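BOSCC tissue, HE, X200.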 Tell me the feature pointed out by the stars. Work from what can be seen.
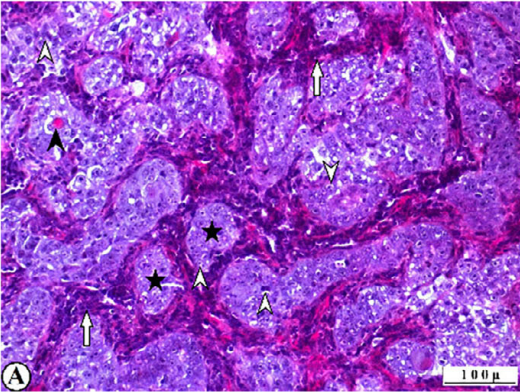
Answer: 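Small rounded nests of pale epithelial cells. Nests surrounded by darker stroma.
Conclusion: small tumour islands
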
